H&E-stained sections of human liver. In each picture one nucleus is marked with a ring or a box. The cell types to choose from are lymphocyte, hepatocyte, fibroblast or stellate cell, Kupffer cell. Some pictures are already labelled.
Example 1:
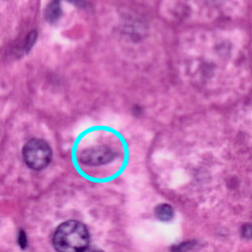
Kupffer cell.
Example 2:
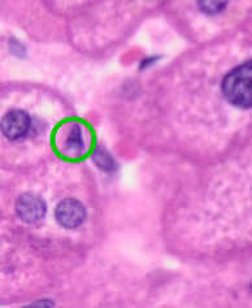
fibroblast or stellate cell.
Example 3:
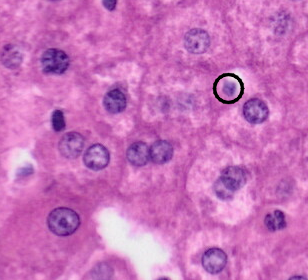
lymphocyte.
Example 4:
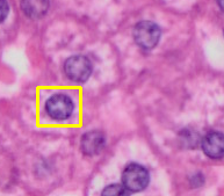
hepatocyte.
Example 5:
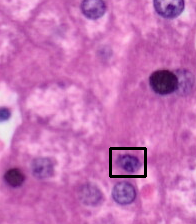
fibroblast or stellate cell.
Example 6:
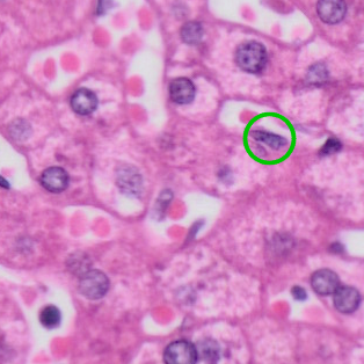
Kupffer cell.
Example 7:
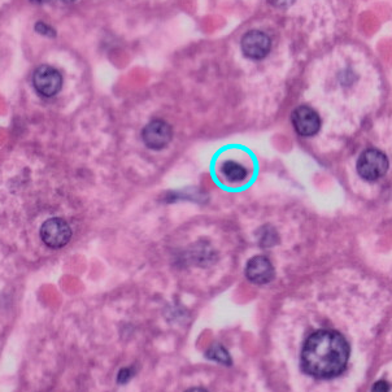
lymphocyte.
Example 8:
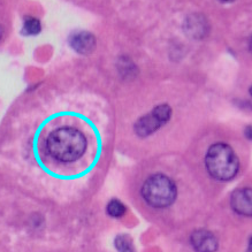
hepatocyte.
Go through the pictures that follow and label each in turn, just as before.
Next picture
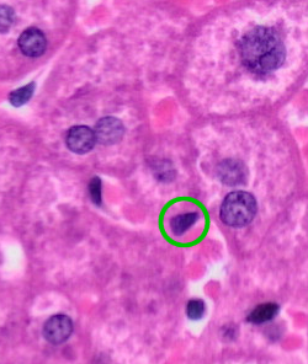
fibroblast or stellate cell.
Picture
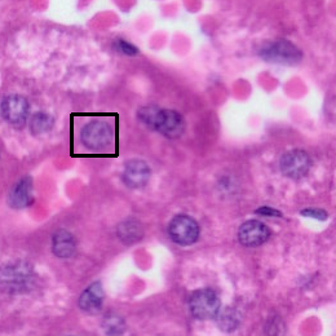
hepatocyte.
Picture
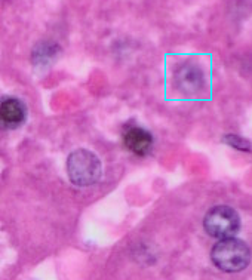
hepatocyte.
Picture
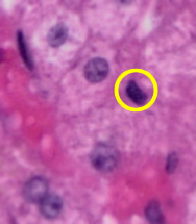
fibroblast or stellate cell.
